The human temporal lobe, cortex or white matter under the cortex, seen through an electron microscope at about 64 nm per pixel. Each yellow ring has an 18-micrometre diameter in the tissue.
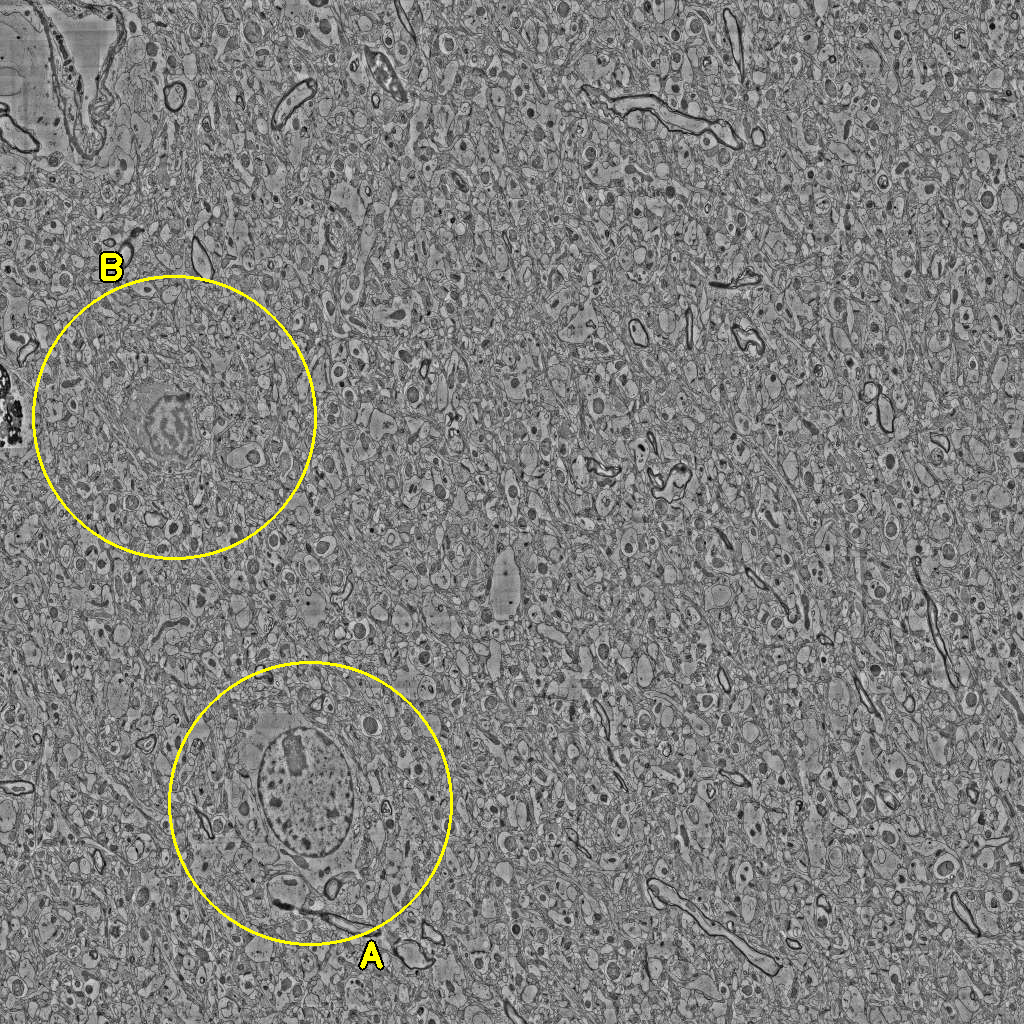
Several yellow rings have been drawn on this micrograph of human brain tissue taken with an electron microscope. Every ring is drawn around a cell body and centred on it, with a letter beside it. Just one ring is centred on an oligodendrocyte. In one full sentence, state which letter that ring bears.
At the centre of ring B is a cell of that kind.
